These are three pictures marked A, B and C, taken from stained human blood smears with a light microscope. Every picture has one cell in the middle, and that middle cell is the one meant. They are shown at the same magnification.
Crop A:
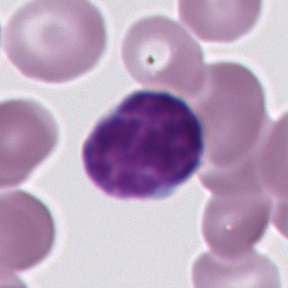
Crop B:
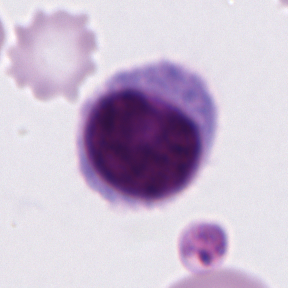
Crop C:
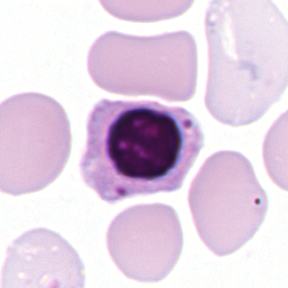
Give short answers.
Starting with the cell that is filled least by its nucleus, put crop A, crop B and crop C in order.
C, B, A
